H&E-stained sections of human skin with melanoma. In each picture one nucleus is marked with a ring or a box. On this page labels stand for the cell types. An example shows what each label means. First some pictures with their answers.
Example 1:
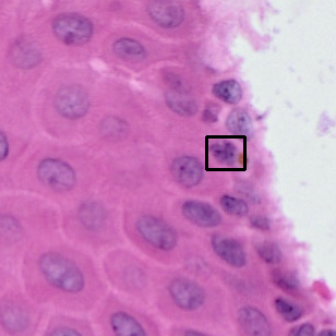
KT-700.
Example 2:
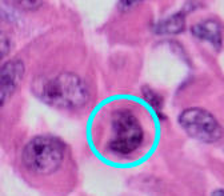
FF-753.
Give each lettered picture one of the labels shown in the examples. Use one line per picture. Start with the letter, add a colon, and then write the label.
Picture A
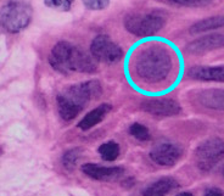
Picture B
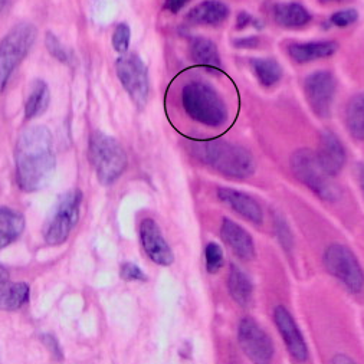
A: KT-700.
B: KT-700.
